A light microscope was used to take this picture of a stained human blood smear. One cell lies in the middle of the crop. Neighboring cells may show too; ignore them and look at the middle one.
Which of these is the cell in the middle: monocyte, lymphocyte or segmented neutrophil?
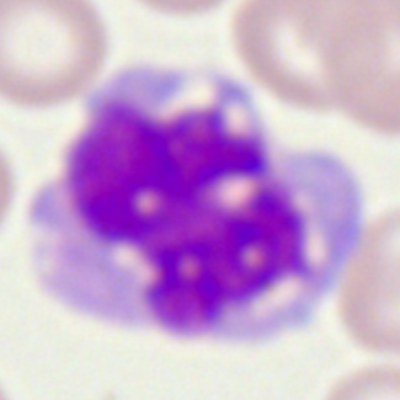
monocyte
